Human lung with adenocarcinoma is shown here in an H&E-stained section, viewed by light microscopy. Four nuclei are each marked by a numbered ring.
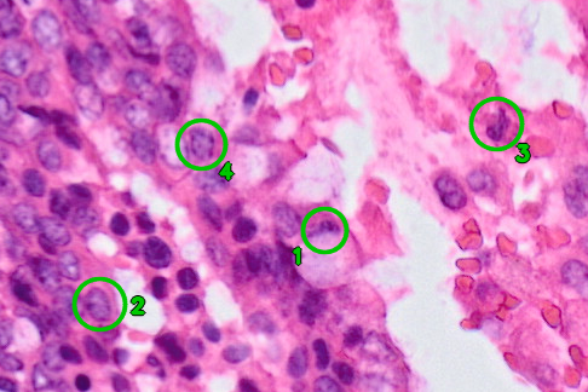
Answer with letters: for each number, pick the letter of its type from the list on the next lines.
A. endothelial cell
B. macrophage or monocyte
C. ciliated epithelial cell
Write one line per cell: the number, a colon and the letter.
1: C
2: C
3: B
4: C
